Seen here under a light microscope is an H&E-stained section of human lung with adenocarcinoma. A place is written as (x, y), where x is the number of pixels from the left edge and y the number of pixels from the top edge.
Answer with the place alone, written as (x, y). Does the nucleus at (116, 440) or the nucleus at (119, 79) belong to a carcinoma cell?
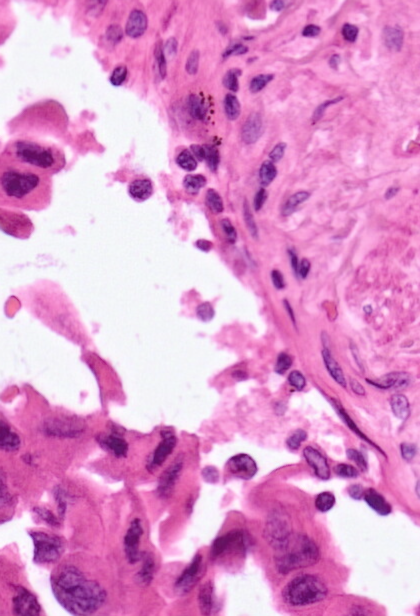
(116, 440)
